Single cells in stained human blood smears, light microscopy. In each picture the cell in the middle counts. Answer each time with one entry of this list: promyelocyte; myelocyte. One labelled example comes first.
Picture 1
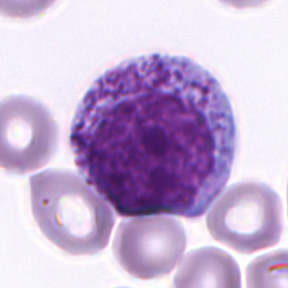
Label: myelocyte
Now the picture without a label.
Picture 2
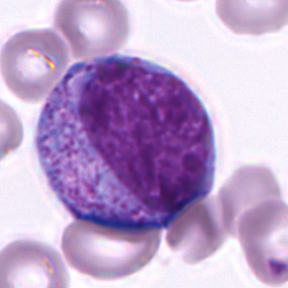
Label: promyelocyte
